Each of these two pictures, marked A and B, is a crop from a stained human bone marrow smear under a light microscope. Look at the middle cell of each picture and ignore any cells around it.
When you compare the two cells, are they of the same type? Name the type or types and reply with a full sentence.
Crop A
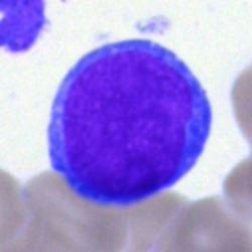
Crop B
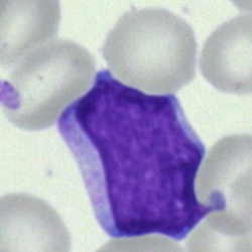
Yes, the two central cells, one per crop, are blasts.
